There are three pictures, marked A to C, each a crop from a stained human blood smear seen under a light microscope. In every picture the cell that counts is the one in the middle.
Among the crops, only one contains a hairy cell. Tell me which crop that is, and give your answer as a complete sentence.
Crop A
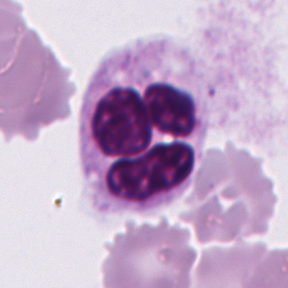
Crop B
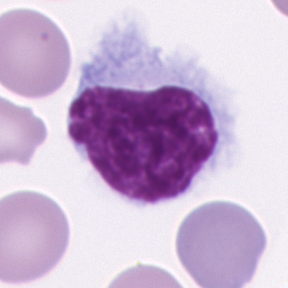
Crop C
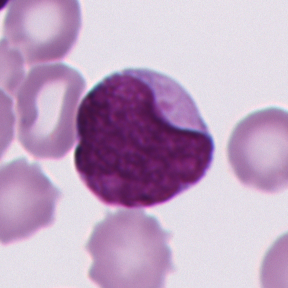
Among the crops, only crop B contains a hairy cell.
